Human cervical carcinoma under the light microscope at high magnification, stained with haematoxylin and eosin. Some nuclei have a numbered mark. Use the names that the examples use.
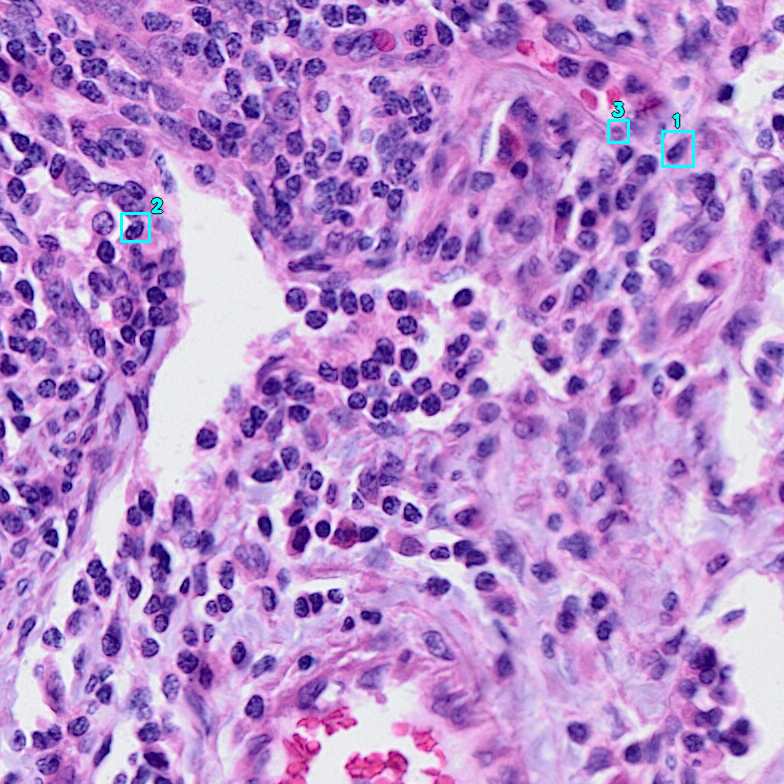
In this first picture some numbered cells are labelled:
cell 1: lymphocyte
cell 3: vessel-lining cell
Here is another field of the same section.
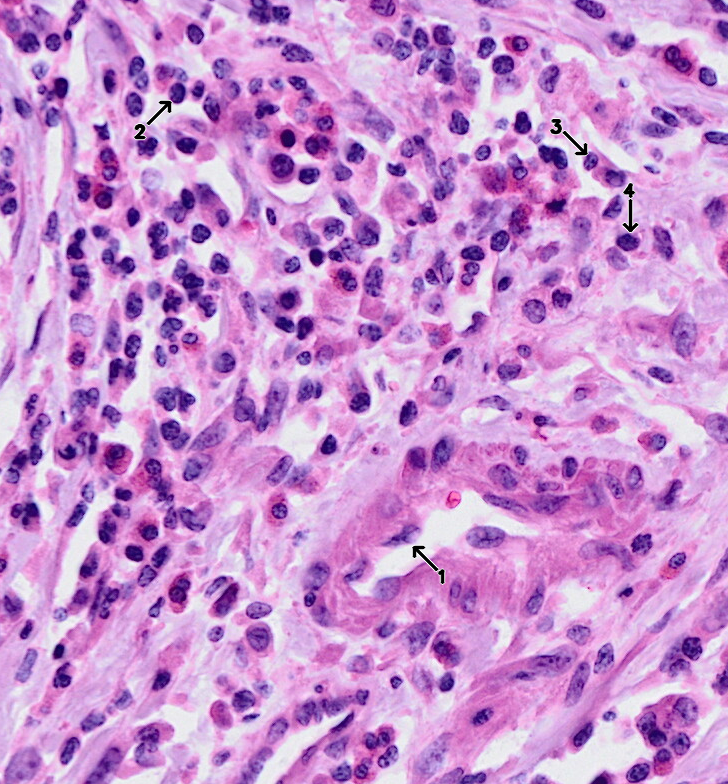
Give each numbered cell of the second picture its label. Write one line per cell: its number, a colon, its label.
1: vessel-lining cell
2: lymphocyte
3: lymphocyte
4: lymphocyte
